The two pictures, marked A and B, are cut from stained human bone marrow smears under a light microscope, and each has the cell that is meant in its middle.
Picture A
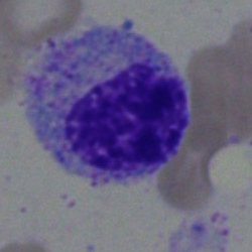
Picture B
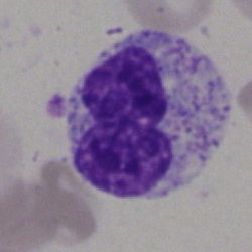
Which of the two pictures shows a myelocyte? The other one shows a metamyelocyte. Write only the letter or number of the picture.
A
